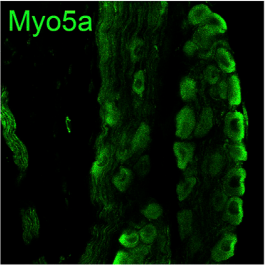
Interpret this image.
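Two clusters of large, rounded to oval cell bodies lie packed side by side, each filled with fairly even green fluorescence in its cytoplasm, some showing a dimmer central region. Strands of finer green fibrous tissue run alongside the clusters at the left.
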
